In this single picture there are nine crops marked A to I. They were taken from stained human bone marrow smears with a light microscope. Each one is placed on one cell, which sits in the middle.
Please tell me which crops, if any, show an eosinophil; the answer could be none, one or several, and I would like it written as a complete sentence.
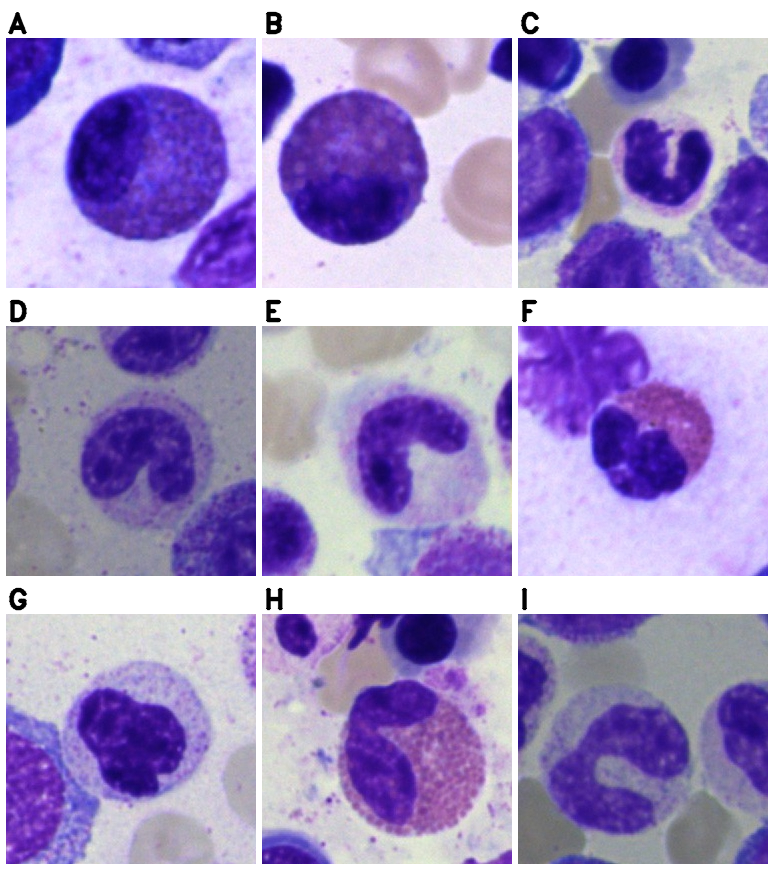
Placed at the centre of crops A, B, F and H are eosinophils.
